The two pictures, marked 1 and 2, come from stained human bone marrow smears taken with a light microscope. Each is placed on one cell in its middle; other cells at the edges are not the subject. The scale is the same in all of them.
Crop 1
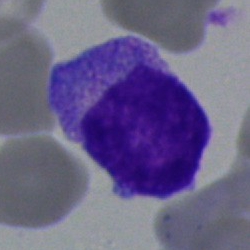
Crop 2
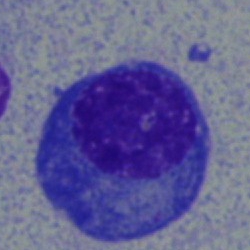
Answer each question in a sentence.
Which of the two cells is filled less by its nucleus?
It is the cell in crop 2 that is filled less by its nucleus.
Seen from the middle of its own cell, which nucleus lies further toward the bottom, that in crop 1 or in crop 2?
In crop 1 the nucleus is shifted more toward the bottom.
